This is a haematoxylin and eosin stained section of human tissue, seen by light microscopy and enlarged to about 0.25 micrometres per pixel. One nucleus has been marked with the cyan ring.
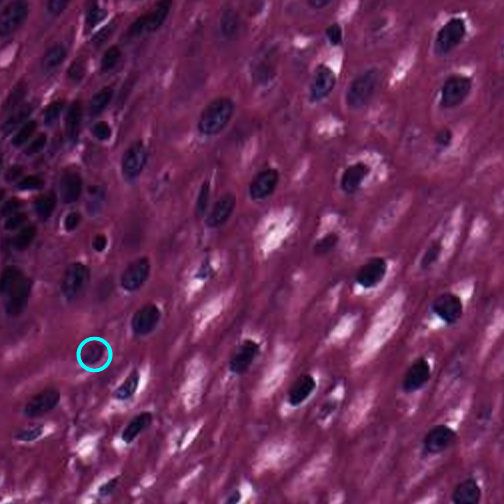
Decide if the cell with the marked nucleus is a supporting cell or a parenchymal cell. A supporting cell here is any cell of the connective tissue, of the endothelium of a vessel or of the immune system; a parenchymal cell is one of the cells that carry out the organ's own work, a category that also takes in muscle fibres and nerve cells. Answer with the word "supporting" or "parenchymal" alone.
parenchymal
